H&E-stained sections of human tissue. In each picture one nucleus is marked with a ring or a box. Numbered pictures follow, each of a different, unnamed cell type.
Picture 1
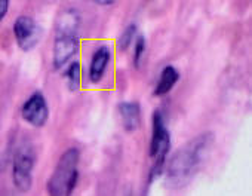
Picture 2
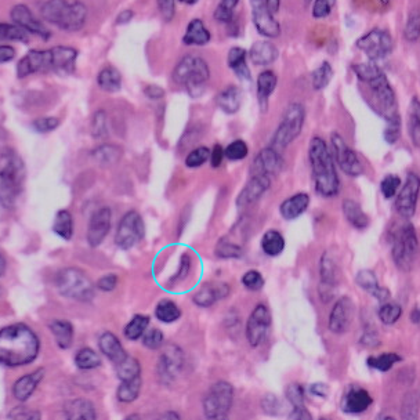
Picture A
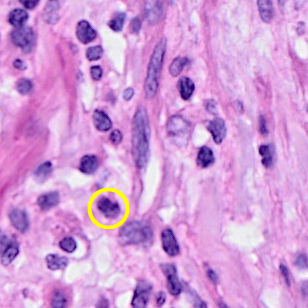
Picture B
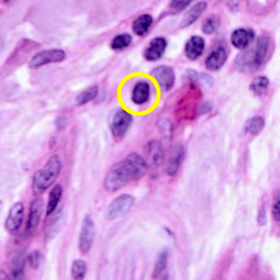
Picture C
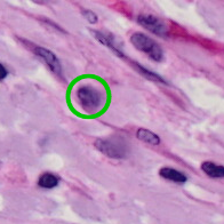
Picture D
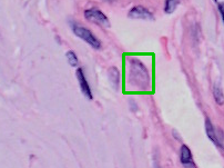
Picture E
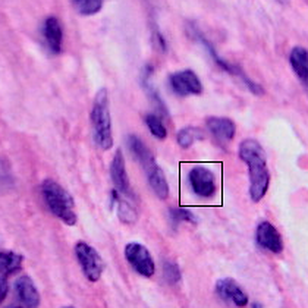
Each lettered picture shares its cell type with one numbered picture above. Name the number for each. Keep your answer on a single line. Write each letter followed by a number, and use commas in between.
A 1, B 1, C 1, D 2, E 1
